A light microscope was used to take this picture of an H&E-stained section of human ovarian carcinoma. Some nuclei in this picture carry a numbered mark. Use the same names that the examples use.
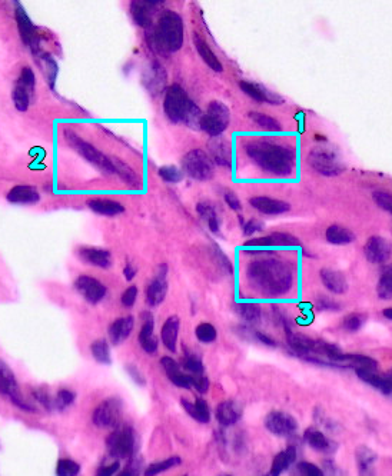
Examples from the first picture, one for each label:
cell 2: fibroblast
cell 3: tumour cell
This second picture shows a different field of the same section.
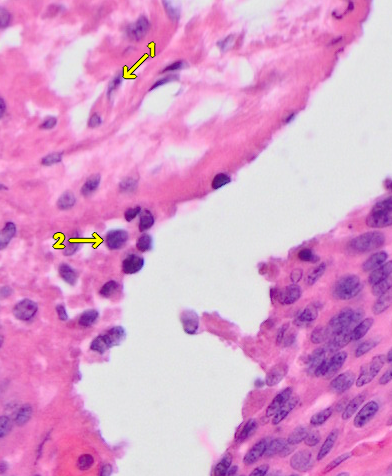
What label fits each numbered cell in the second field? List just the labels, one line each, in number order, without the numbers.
fibroblast
tumour cell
